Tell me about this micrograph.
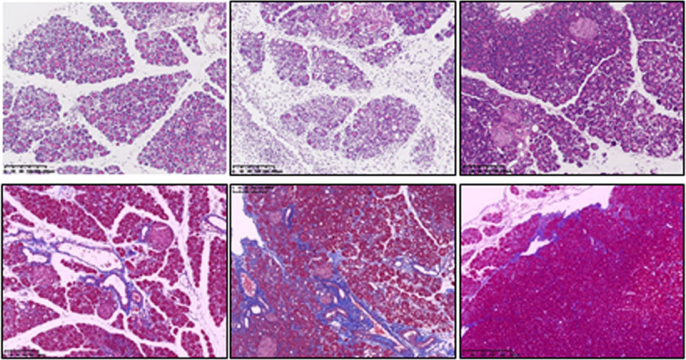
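These are sections of pancreas. The tissue is divided into lobules of tightly packed acinar cells. In the top row the acini stain purple, and the lobules are separated by white interlobular spaces. Pale, rounded islands of cells sit among the acini and are easy to pick out. In the bottom row the acinar tissue stains deep red, and blue-stained fibrous connective tissue runs between and around the lobules. In one section this blue tissue forms broad, irregular bands that push into the parenchyma. The septa in some sections look widened and loosely cellular. Together these features show exocrine pancreas with variable interlobular connective tissue.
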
